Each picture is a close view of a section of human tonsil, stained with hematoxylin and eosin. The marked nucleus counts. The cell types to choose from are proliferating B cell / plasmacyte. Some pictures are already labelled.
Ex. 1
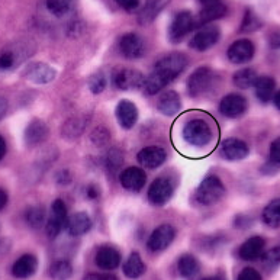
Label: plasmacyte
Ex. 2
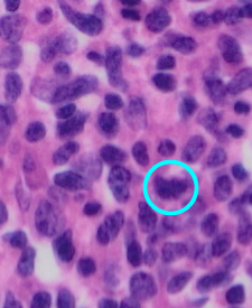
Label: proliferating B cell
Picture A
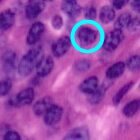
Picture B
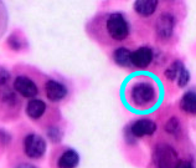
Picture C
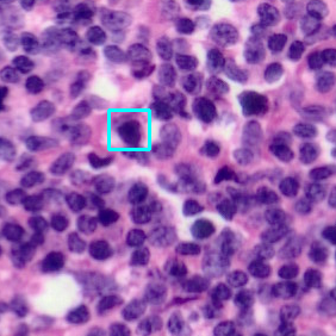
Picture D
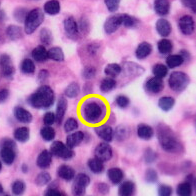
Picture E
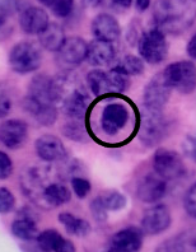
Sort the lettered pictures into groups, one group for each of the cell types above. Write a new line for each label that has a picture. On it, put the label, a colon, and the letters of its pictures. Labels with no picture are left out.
proliferating B cell: C, E
plasmacyte: A, B, D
